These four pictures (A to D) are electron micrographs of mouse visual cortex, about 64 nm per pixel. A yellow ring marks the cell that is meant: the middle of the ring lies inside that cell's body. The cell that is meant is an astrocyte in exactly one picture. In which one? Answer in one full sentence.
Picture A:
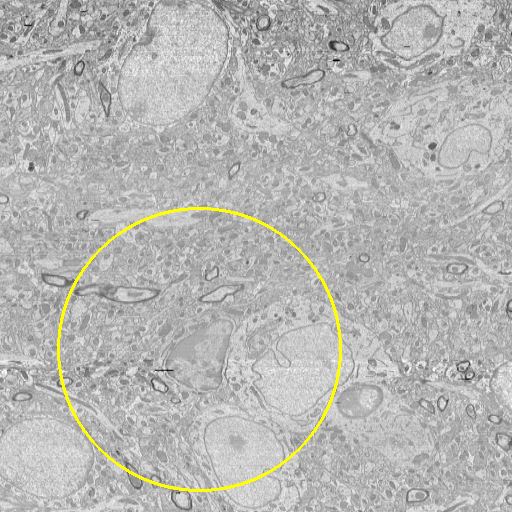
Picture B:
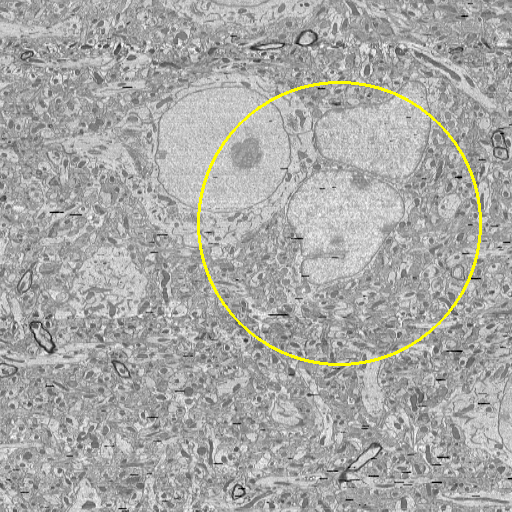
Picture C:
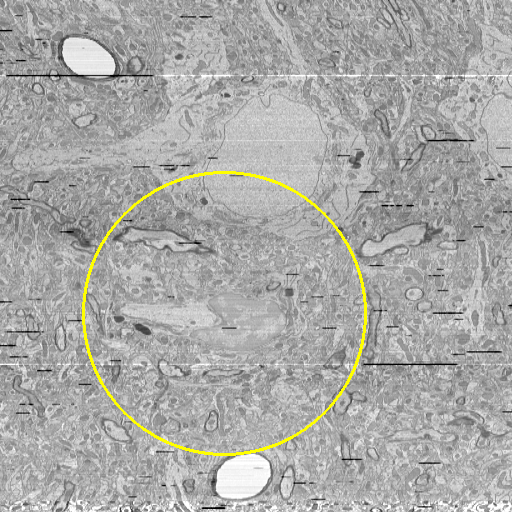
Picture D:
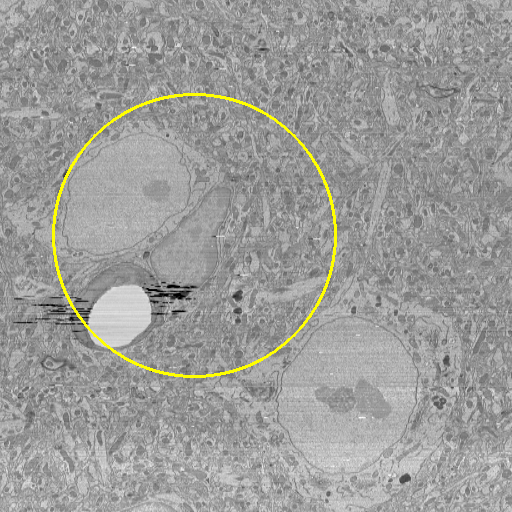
Picture B shows the astrocyte.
